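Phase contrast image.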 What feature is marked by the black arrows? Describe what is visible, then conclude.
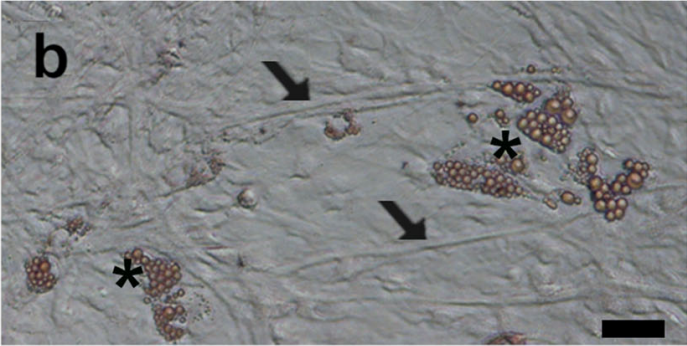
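Long, thin, linear structures run across the field. They are narrow and tube-like, much longer than the surrounding cells. So: vessel structures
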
